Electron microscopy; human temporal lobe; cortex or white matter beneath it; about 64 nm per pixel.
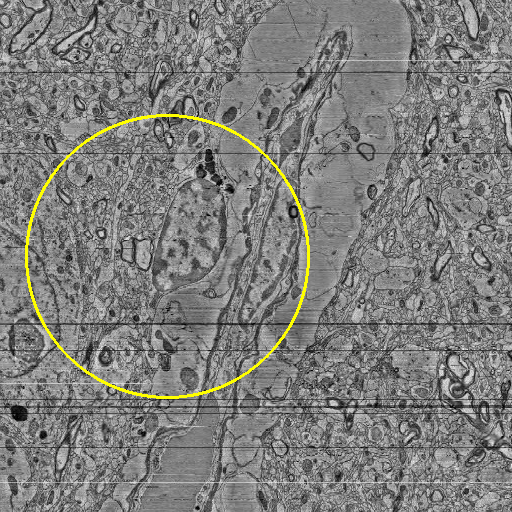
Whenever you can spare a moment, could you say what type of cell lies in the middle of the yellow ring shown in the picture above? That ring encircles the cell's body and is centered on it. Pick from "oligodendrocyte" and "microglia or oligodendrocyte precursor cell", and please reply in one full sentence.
The cell whose body sits at the middle of the yellow ring is a microglial cell or oligodendrocyte precursor cell.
